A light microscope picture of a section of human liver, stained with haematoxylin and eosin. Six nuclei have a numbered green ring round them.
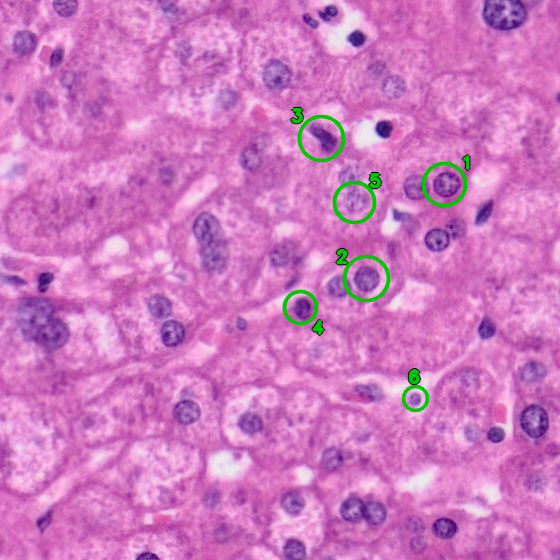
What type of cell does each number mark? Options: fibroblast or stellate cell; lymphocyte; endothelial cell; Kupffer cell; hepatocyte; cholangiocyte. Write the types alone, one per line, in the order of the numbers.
hepatocyte
hepatocyte
Kupffer cell
Kupffer cell
hepatocyte
lymphocyte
